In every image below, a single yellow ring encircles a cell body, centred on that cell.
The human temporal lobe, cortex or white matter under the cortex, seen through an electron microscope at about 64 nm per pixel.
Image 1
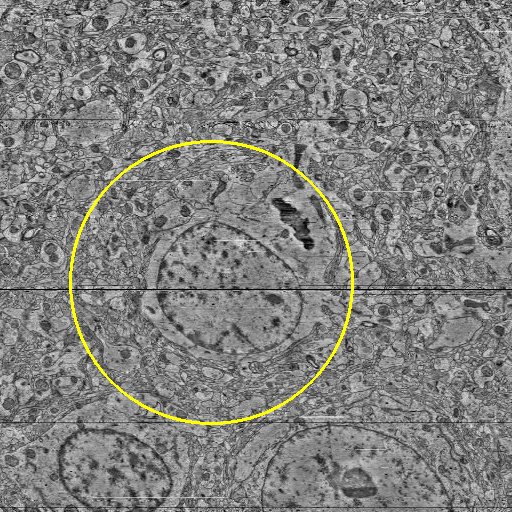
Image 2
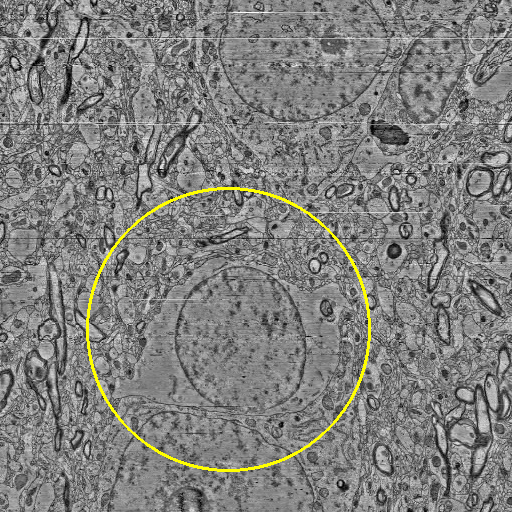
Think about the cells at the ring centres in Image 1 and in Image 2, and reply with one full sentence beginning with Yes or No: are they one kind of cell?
Yes, the cells centred in the rings of Image 1 and Image 2 are one kind of cell.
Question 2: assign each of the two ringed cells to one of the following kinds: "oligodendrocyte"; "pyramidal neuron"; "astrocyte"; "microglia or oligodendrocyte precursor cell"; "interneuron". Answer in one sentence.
The cell in the first picture is an astrocyte, and so is the one in the second.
